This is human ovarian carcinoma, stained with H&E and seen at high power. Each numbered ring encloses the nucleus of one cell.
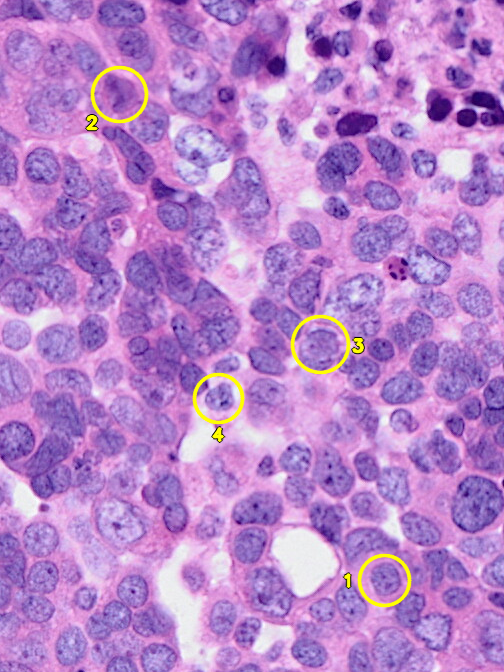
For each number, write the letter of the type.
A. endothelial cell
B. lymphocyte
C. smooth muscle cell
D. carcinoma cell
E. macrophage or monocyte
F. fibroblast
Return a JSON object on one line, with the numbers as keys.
{"1": "D", "2": "D", "3": "D", "4": "E"}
